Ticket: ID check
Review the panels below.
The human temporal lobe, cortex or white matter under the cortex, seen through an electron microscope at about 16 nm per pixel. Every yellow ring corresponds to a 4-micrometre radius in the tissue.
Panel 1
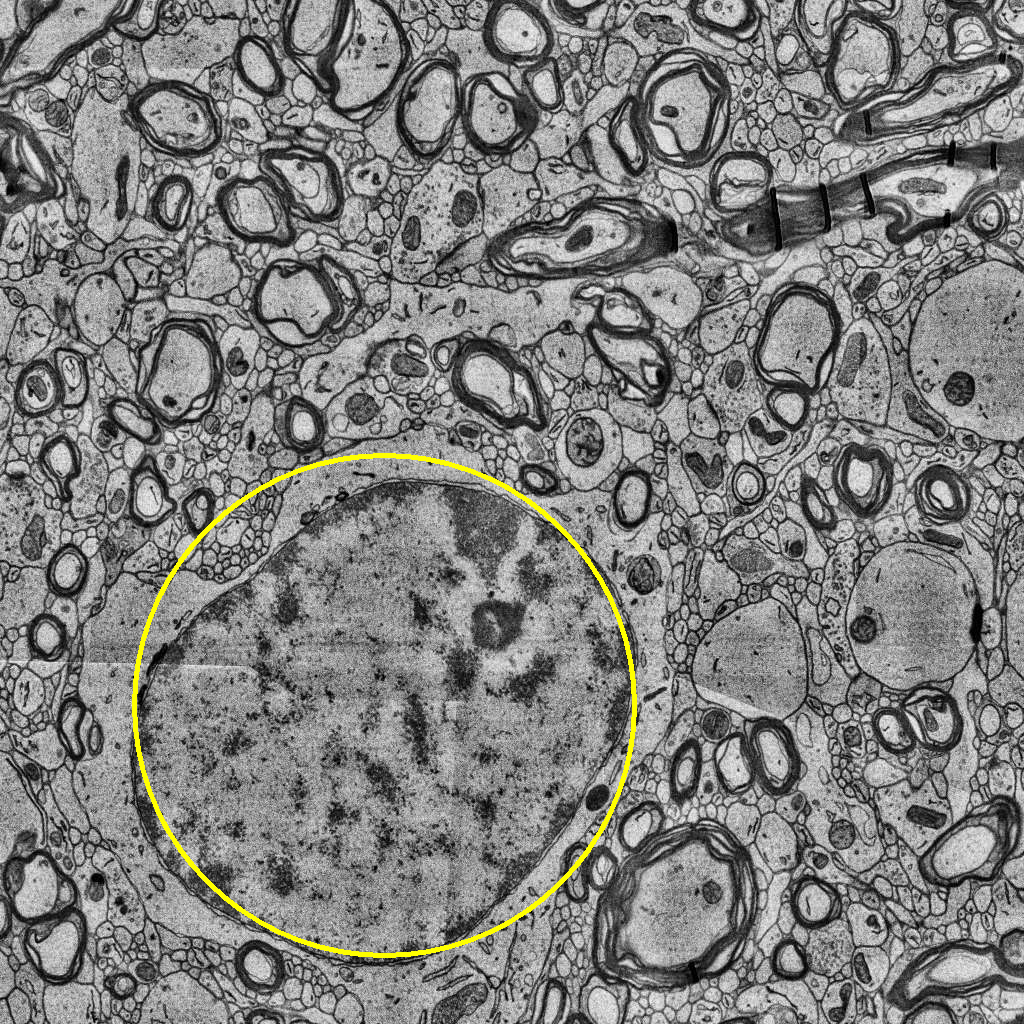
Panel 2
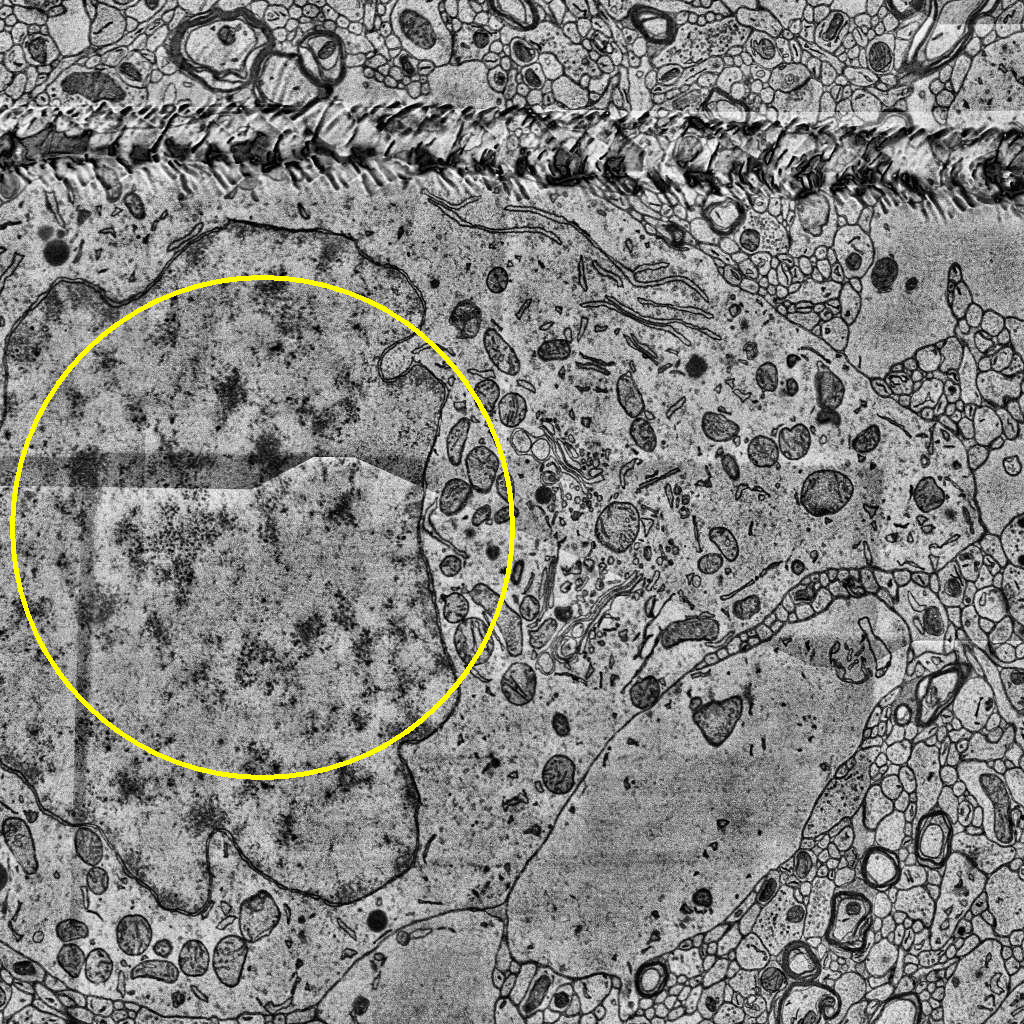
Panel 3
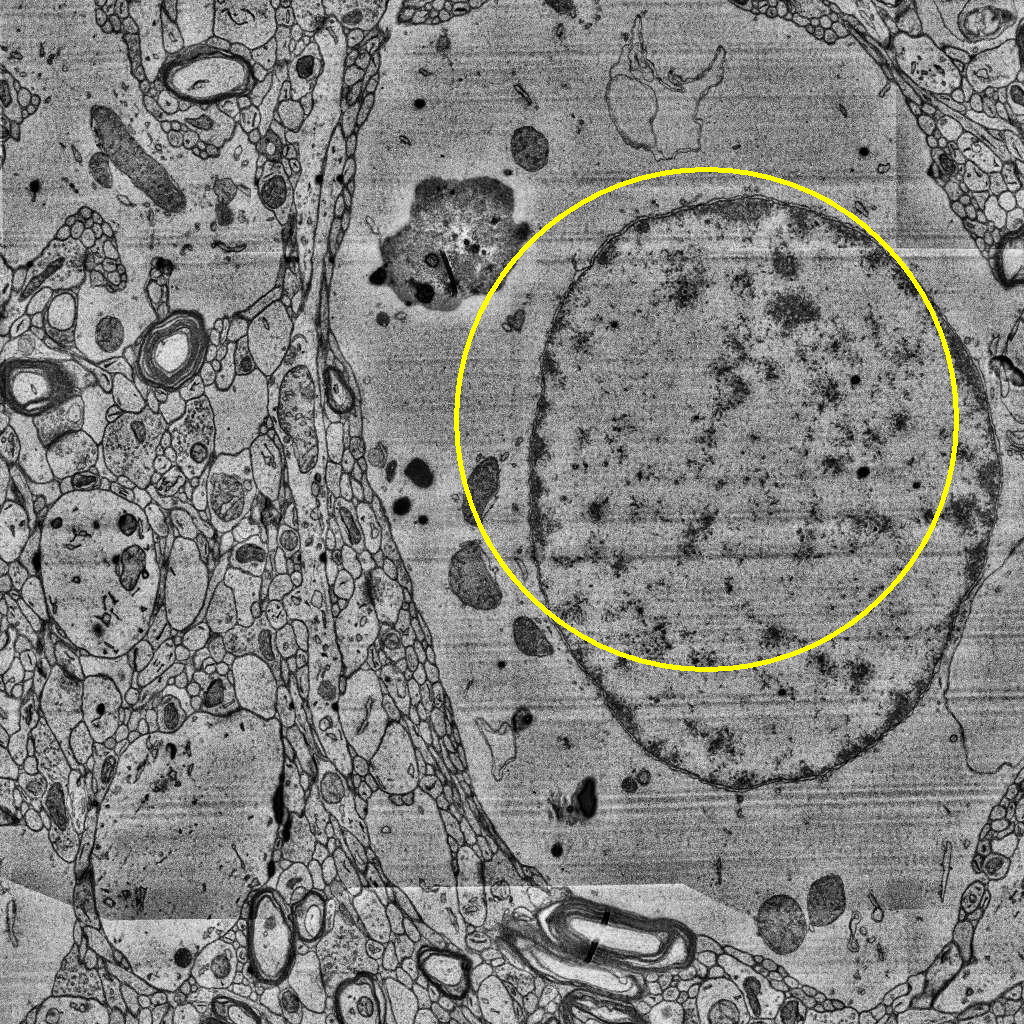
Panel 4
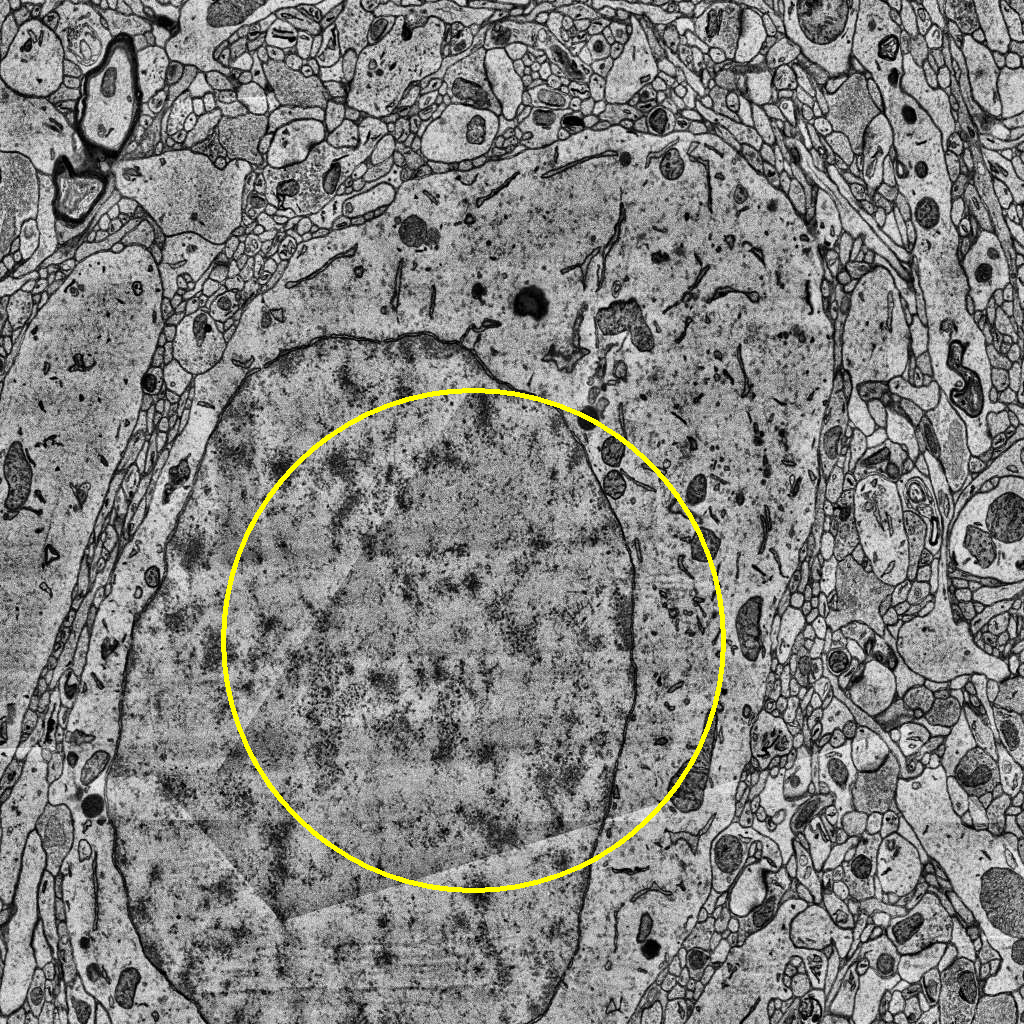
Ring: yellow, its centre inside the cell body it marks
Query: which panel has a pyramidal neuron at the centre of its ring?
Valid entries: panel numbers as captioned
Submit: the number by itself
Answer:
4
